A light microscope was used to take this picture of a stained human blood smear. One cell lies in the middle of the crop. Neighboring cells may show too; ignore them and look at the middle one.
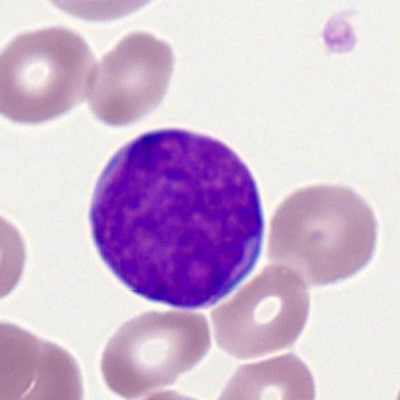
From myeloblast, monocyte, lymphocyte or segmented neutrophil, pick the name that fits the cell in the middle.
myeloblast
